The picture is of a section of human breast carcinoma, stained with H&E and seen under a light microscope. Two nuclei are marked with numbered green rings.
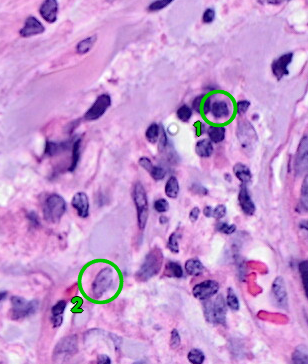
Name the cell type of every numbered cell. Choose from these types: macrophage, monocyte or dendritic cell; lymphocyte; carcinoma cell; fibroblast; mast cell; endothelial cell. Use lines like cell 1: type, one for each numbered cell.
cell 1: lymphocyte
cell 2: endothelial cell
